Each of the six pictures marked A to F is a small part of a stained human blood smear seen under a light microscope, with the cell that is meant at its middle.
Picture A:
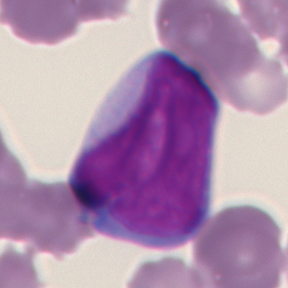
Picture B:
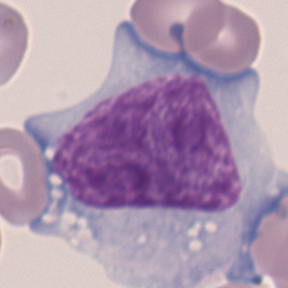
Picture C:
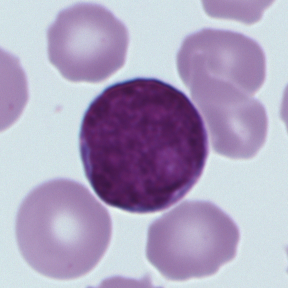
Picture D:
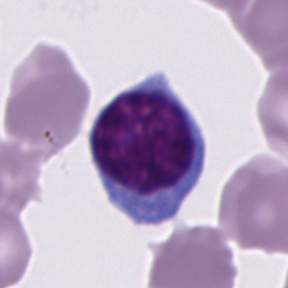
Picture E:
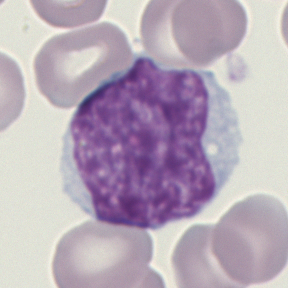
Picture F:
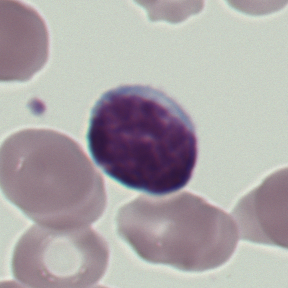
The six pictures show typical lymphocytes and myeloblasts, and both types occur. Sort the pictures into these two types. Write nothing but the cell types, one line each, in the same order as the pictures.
myeloblast
myeloblast
myeloblast
typical lymphocyte
myeloblast
typical lymphocyte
